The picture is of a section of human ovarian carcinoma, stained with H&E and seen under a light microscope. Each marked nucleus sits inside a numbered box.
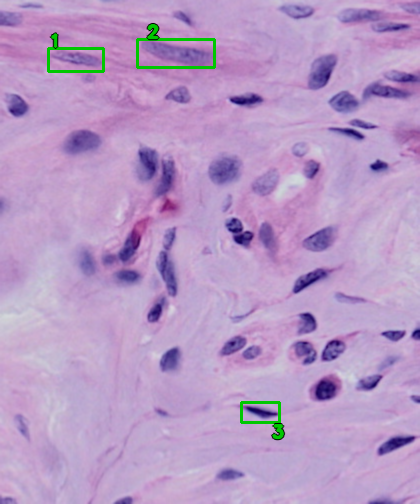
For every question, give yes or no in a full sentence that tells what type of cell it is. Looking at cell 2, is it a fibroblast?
No, number 2 is assigned to a smooth muscle cell, not to a fibroblast.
